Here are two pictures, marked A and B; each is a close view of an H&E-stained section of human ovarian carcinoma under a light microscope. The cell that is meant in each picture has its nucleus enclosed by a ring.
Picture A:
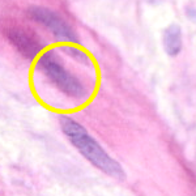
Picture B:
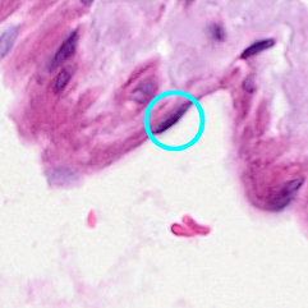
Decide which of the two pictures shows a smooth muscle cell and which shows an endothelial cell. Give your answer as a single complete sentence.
In picture A the cell is a smooth muscle cell; in picture B, an endothelial cell.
